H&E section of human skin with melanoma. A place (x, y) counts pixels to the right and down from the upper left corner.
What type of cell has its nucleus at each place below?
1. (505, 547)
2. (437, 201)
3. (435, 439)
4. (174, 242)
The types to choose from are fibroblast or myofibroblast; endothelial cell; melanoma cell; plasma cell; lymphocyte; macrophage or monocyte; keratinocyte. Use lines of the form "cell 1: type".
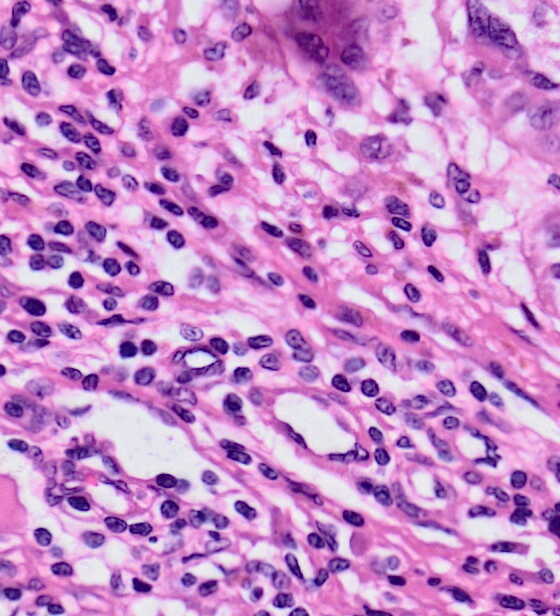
cell 1: plasma cell
cell 2: lymphocyte
cell 3: endothelial cell
cell 4: lymphocyte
